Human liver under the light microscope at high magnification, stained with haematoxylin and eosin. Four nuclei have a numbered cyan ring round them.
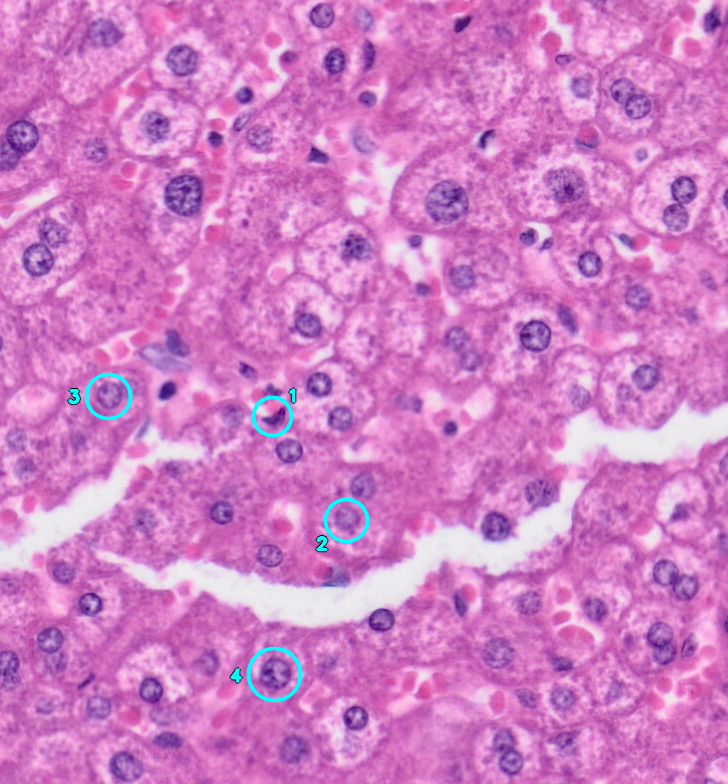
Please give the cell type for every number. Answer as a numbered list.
1. endothelial cell
2. hepatocyte
3. hepatocyte
4. hepatocyte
